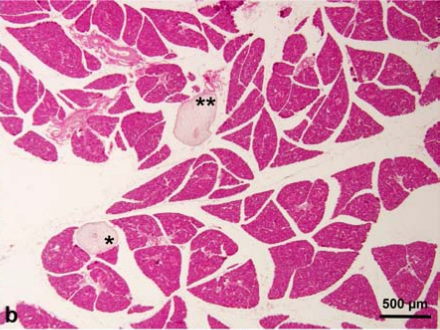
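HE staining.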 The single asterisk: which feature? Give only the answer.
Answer: Pacinian corpuscles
